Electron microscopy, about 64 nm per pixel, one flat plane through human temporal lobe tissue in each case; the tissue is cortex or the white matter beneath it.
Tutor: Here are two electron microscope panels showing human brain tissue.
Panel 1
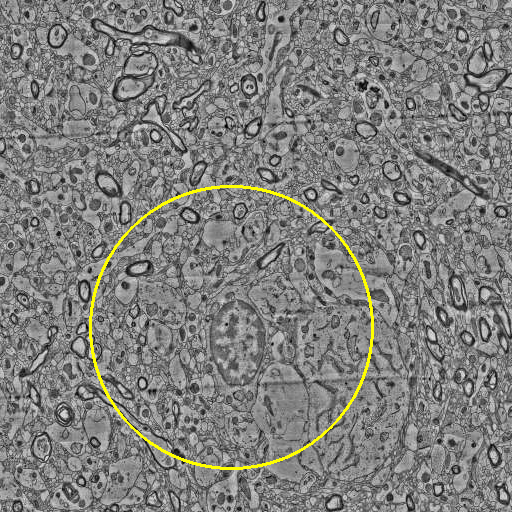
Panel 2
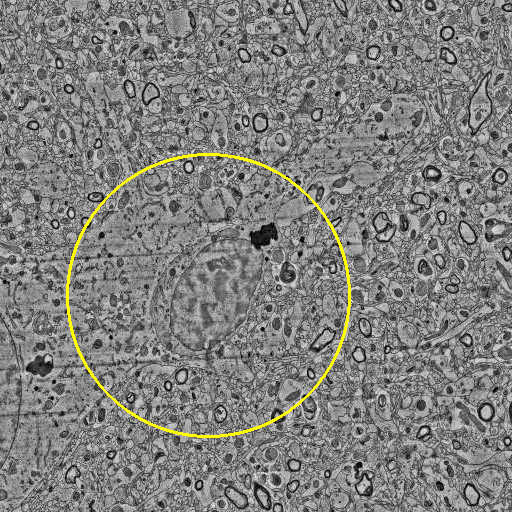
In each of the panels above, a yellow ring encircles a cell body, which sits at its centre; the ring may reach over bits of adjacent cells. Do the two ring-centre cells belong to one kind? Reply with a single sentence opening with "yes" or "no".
Yes, the two cells sitting at the ring centres in the panels belong to one kind.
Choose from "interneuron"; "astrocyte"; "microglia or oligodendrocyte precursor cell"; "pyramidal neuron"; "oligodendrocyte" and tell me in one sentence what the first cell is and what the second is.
Both cells are the same kind, each one being an oligodendrocyte.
